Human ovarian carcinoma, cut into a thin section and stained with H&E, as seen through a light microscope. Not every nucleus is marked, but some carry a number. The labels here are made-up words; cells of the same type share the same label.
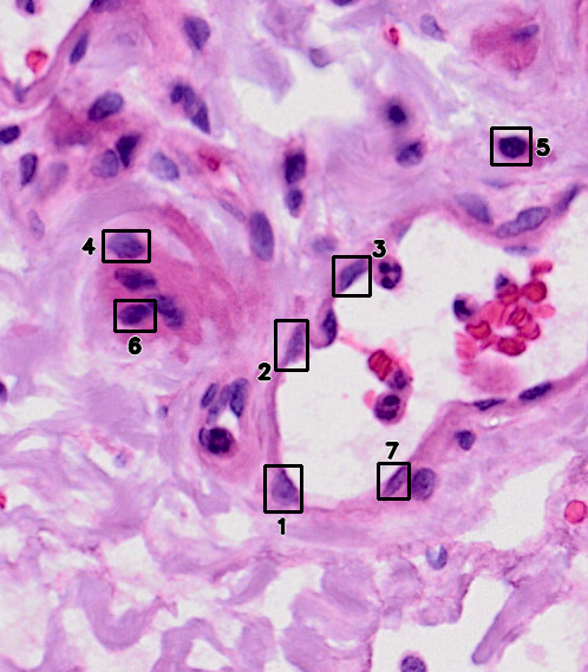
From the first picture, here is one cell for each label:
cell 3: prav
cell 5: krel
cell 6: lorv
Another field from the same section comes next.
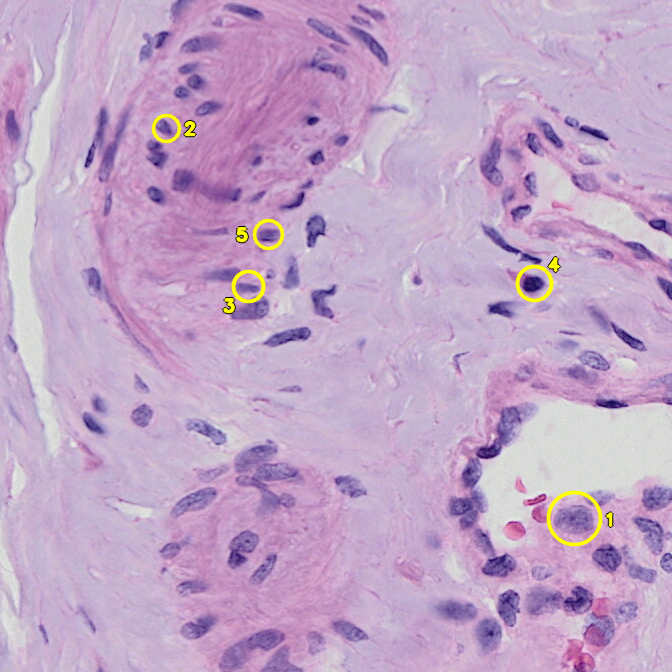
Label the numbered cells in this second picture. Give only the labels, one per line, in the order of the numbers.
prav
lorv
lorv
krel
lorv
